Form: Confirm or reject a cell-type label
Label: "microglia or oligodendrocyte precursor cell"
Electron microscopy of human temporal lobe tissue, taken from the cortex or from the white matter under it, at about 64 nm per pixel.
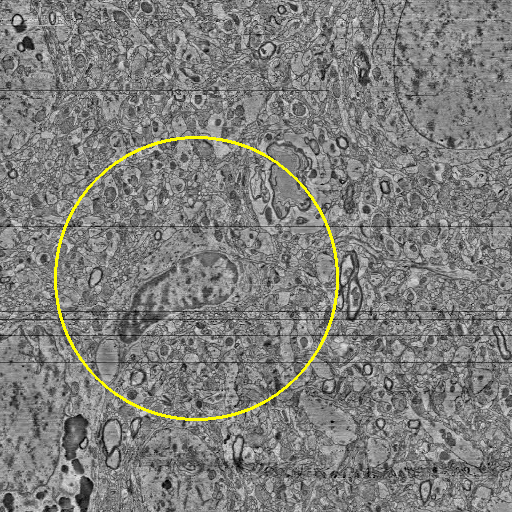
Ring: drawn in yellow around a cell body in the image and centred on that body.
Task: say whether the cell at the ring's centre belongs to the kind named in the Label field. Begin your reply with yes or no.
Yes, it belongs to that kind.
